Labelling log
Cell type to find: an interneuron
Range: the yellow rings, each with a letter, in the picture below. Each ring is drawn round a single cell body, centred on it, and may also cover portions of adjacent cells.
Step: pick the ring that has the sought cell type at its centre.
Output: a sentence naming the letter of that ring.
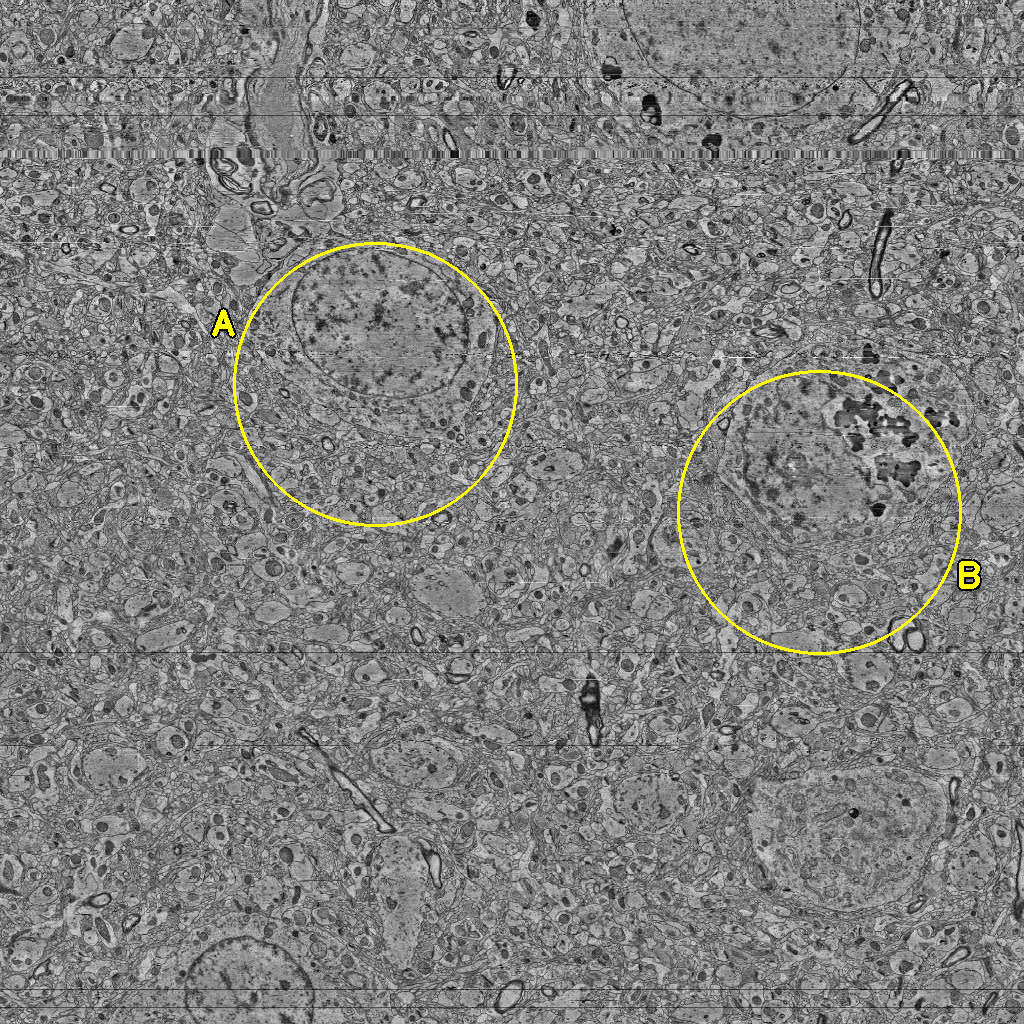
Ring B is the one with the cell asked for at its centre.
